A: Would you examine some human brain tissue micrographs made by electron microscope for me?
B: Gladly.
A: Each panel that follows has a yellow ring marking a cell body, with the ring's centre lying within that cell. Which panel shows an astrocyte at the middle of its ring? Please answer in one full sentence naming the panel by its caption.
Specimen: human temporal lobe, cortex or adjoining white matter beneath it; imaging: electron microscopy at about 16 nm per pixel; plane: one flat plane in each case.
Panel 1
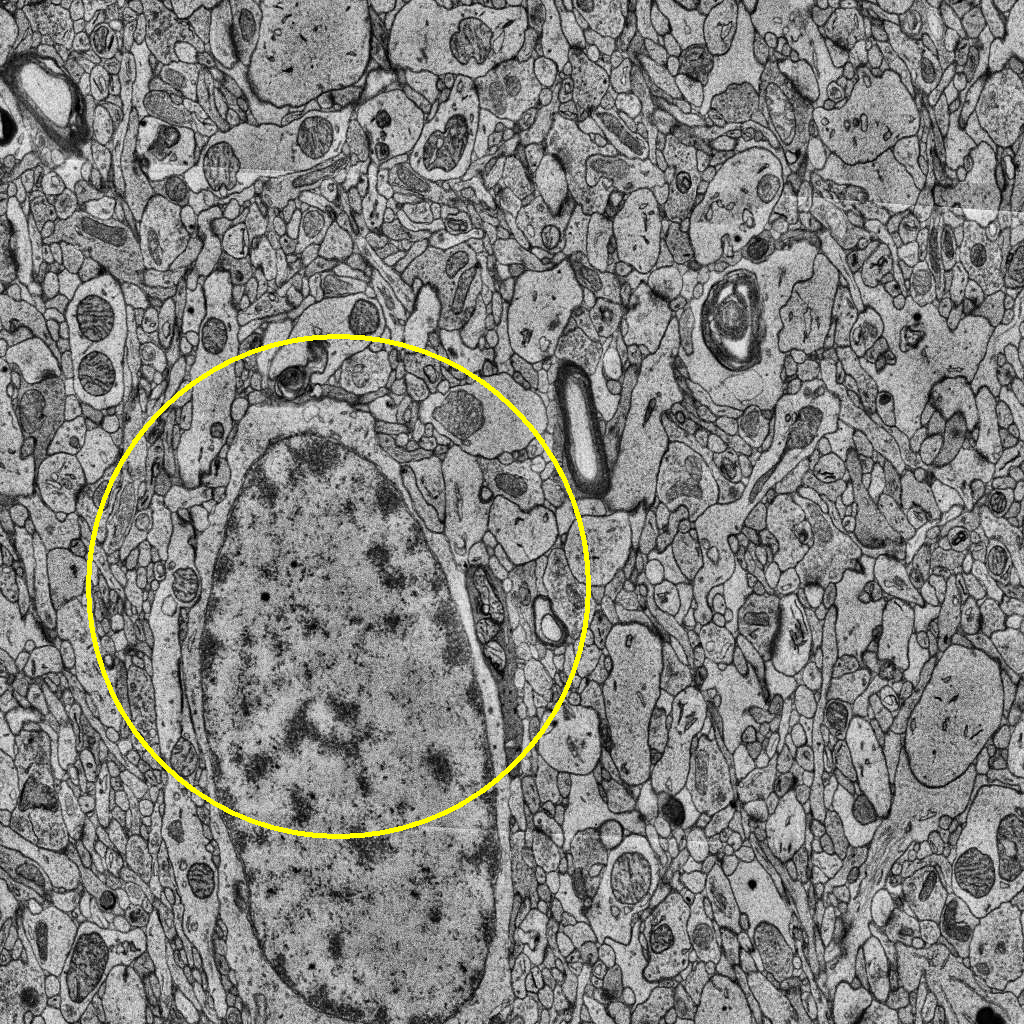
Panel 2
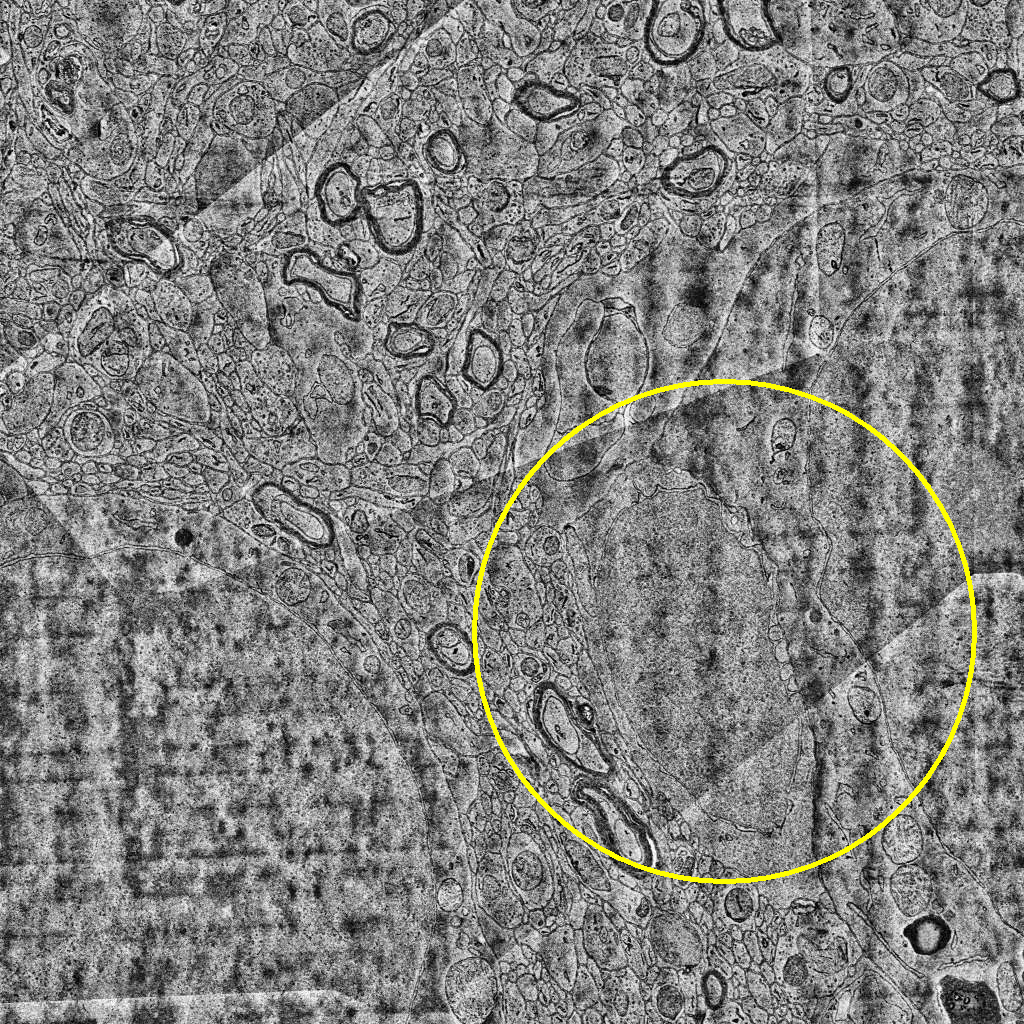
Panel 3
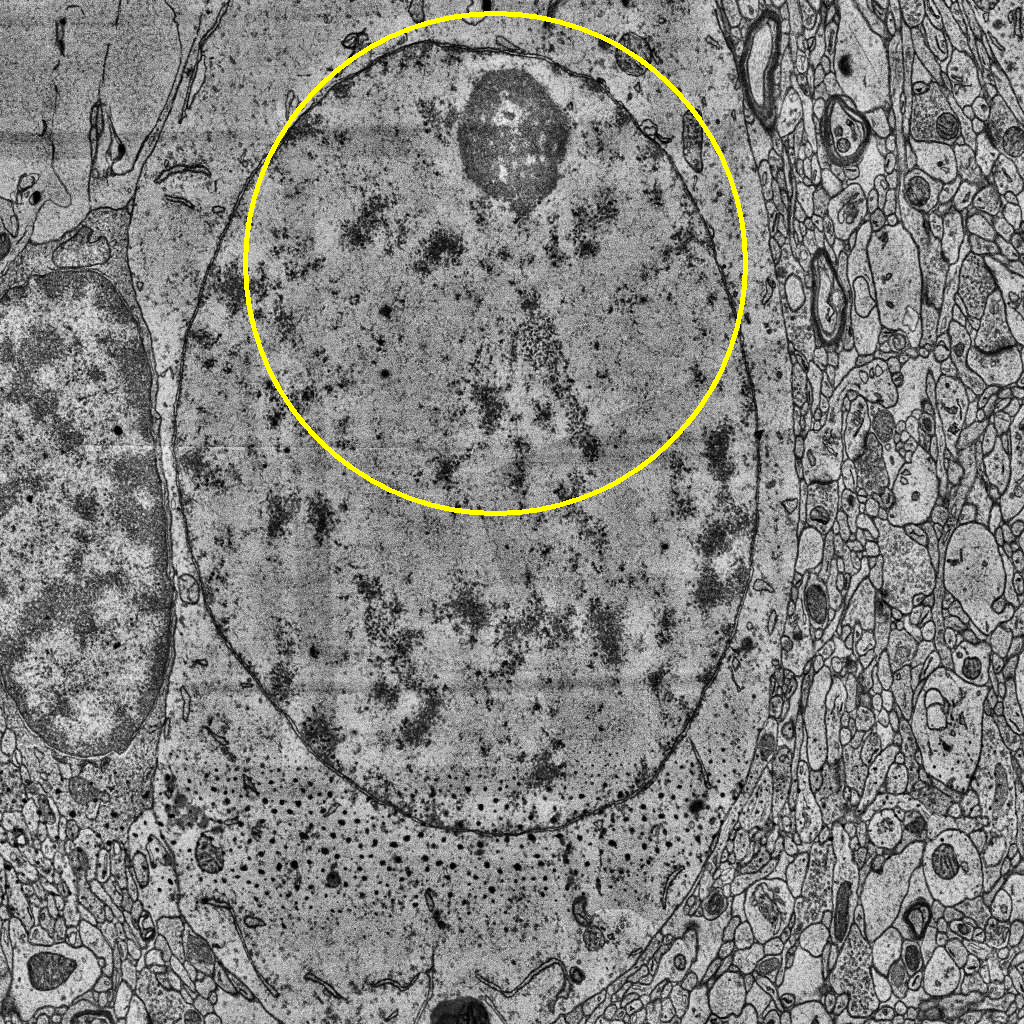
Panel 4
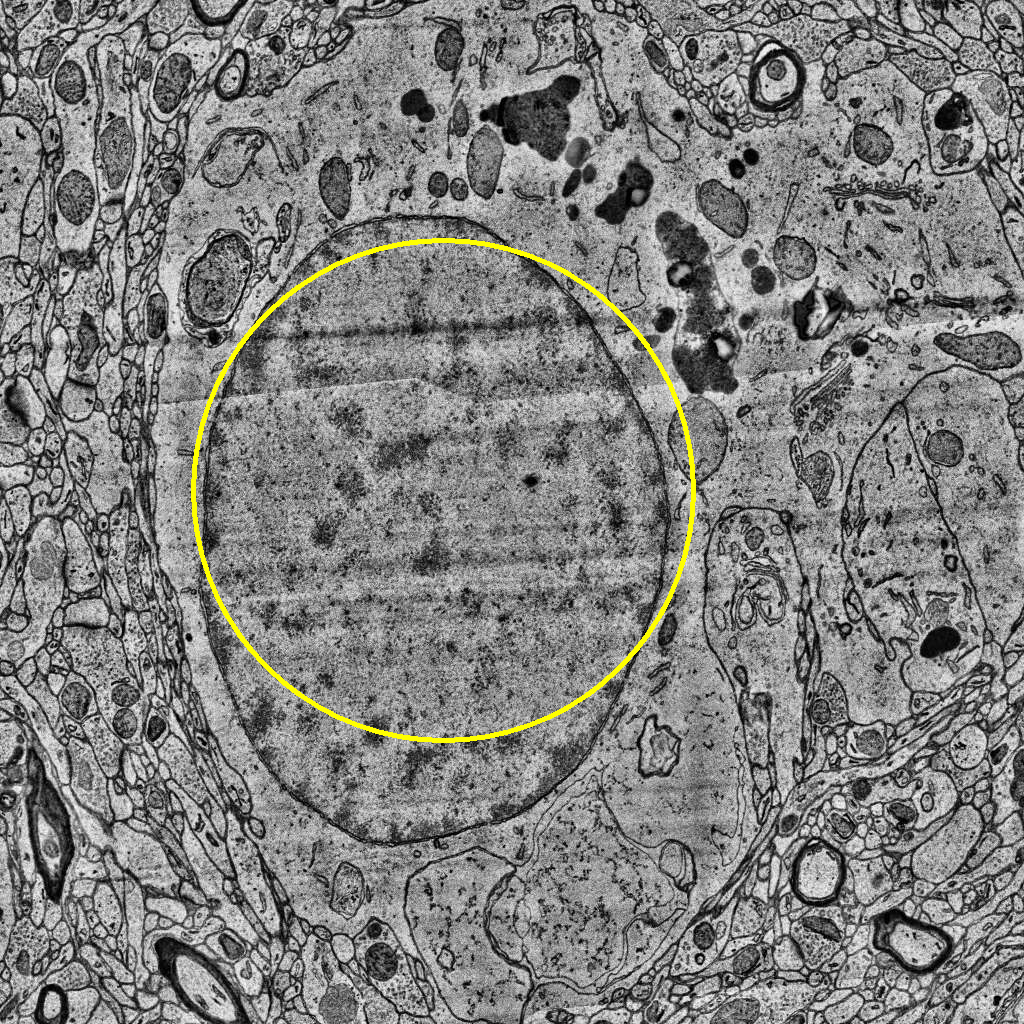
Panel 4 is where the ring's centre lies within the requested cell.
